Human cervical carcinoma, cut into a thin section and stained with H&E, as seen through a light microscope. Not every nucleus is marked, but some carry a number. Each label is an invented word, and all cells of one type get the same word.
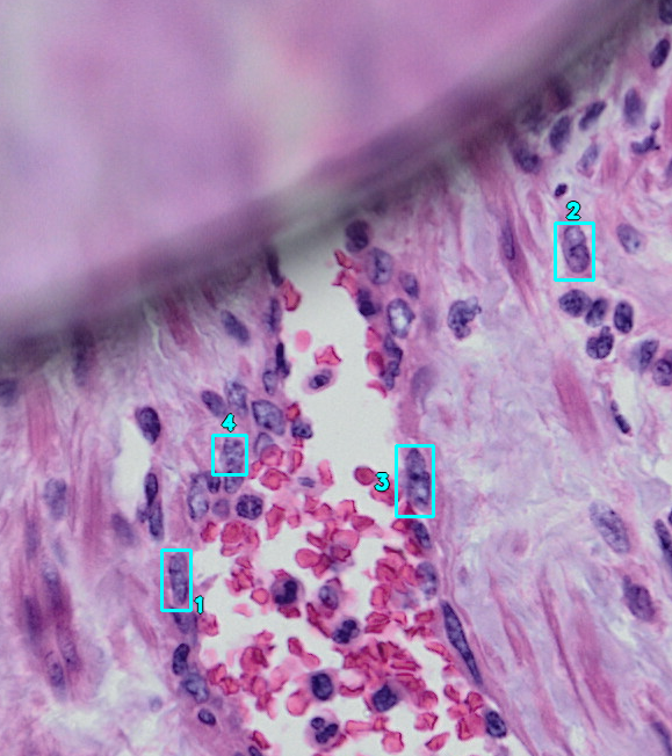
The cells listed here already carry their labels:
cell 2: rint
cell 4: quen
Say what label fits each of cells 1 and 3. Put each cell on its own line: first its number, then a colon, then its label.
1: quen
3: quen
